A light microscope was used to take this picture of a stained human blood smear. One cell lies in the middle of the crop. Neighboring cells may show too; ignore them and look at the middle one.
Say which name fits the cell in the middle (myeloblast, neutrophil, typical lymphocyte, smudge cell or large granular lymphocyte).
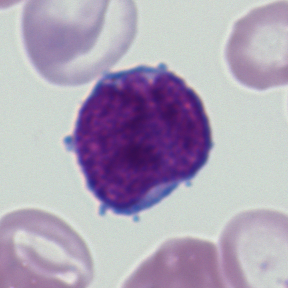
myeloblast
